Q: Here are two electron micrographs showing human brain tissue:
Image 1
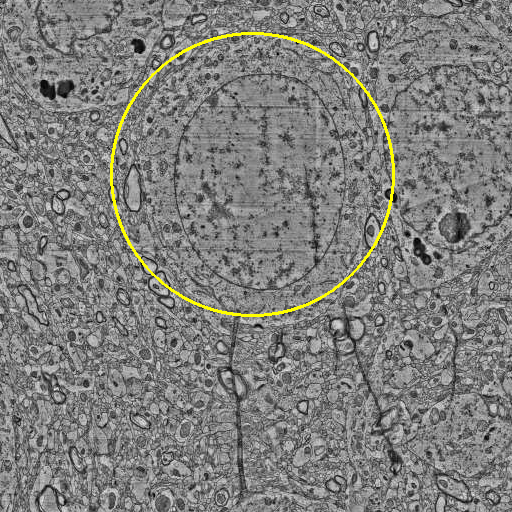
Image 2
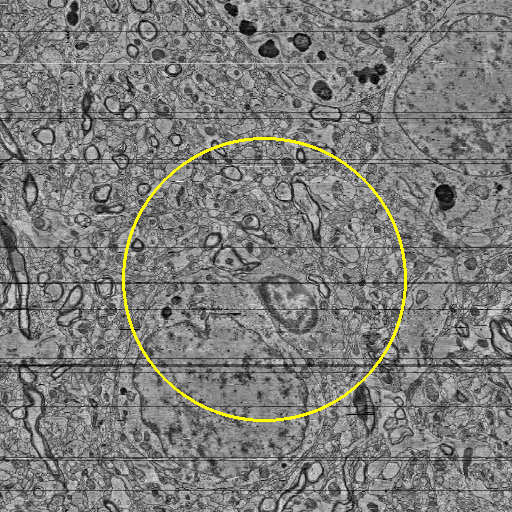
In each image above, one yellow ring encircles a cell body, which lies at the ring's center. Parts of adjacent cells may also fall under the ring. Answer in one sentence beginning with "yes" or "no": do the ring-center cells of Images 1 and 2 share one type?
No, in Images 1 and 2, the ring-center cells are of two types.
